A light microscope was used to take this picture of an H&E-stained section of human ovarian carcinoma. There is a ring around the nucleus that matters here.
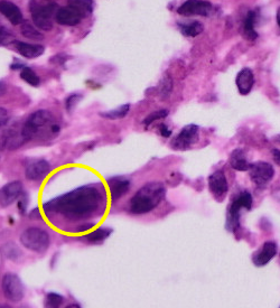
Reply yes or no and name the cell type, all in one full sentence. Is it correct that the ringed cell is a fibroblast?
No, the ringed cell is not a fibroblast but a carcinoma cell.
